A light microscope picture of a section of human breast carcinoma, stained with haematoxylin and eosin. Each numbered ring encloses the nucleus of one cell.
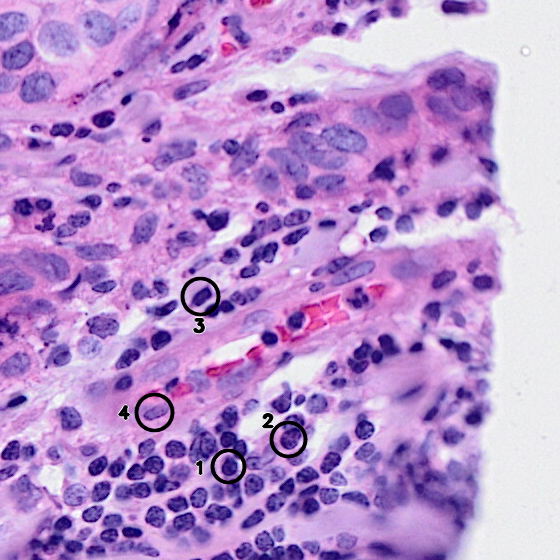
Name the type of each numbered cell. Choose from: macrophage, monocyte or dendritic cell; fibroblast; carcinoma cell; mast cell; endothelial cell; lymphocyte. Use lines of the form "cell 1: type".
cell 1: lymphocyte
cell 2: lymphocyte
cell 3: lymphocyte
cell 4: endothelial cell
